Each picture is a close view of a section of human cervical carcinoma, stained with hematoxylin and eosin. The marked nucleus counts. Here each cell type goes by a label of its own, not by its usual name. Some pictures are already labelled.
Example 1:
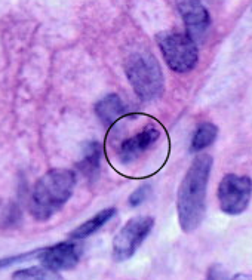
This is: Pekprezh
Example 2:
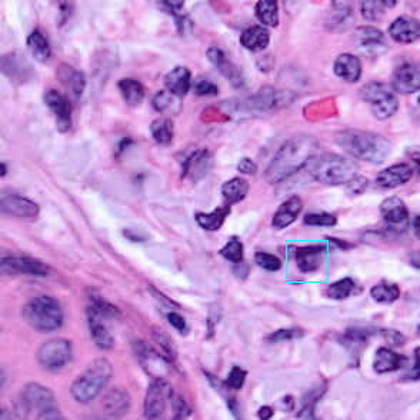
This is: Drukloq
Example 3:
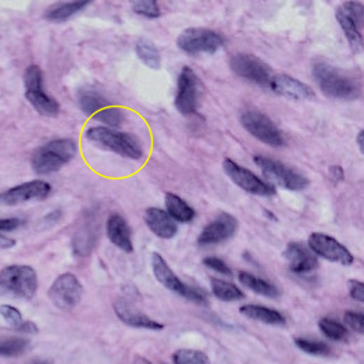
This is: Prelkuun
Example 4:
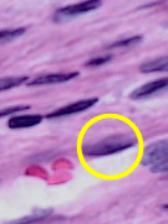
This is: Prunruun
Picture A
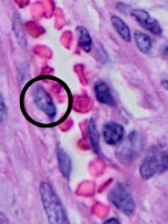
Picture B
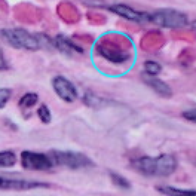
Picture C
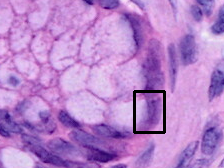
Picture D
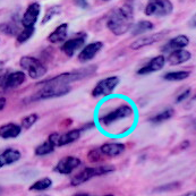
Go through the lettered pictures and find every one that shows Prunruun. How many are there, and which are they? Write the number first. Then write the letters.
2, namely A, B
